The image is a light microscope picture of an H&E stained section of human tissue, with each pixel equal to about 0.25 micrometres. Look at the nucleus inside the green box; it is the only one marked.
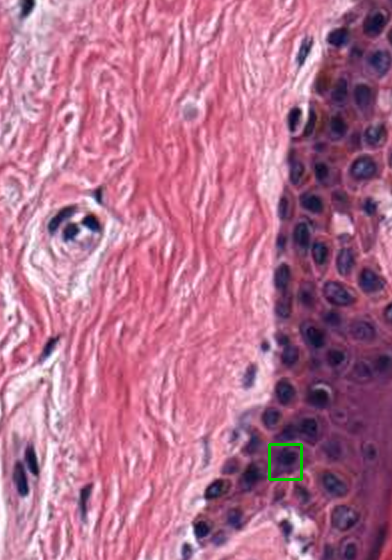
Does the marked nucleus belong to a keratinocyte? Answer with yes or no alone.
yes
